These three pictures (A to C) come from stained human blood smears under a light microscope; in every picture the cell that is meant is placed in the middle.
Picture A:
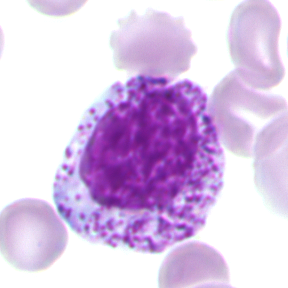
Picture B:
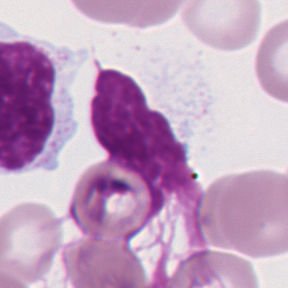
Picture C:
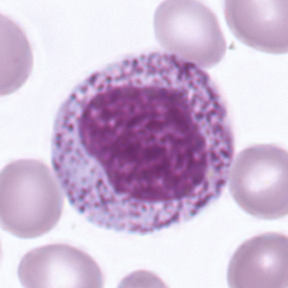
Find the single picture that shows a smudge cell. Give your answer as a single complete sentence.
The cell in picture B is the smudge cell.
